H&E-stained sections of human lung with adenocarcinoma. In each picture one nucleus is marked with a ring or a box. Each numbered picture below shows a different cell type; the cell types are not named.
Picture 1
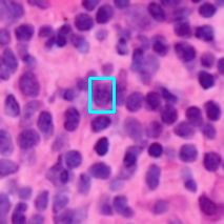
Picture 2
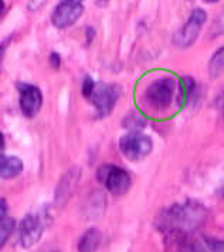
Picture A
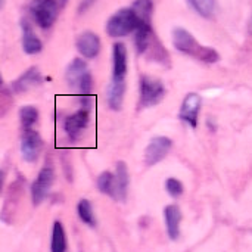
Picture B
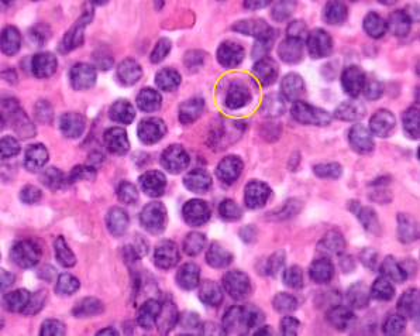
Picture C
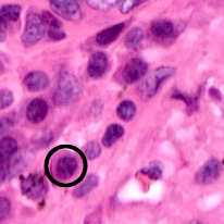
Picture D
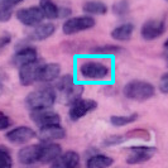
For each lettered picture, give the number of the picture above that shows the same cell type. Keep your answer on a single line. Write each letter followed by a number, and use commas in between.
A 2, B 1, C 2, D 1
